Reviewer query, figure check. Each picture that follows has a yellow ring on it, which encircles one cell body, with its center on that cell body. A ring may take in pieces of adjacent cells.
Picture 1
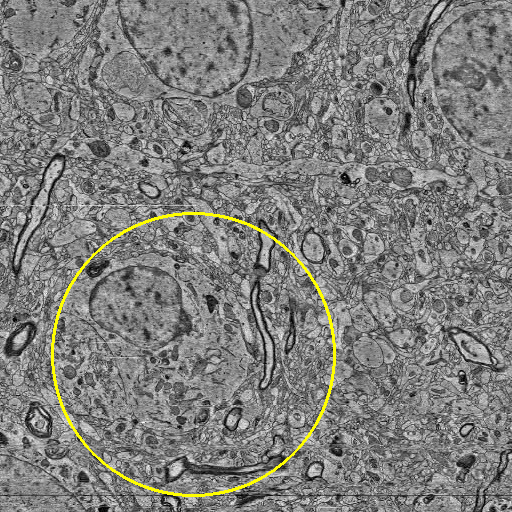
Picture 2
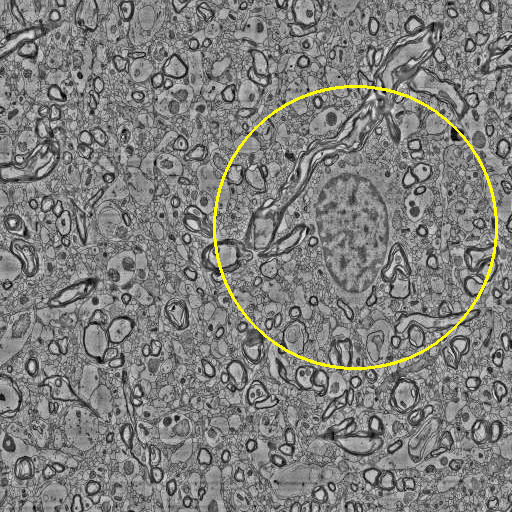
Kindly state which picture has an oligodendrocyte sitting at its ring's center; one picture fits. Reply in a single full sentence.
In picture 2, the cell at the center of the ring is the requested one.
